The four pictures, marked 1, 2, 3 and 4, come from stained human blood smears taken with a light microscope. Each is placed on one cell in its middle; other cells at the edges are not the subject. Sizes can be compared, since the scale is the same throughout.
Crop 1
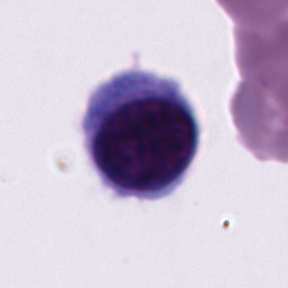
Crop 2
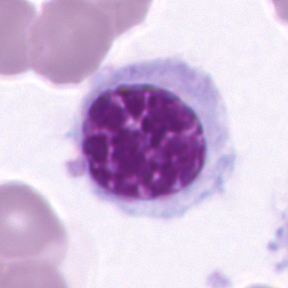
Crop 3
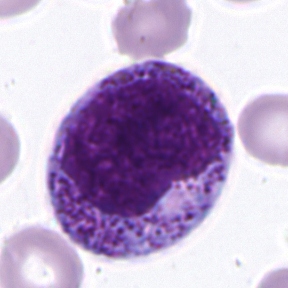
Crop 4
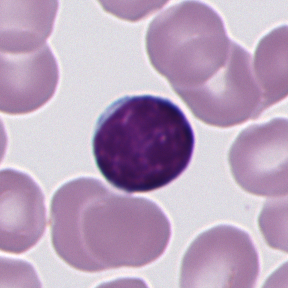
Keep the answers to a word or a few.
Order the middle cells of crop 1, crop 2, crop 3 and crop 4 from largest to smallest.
3, 2, 1, 4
